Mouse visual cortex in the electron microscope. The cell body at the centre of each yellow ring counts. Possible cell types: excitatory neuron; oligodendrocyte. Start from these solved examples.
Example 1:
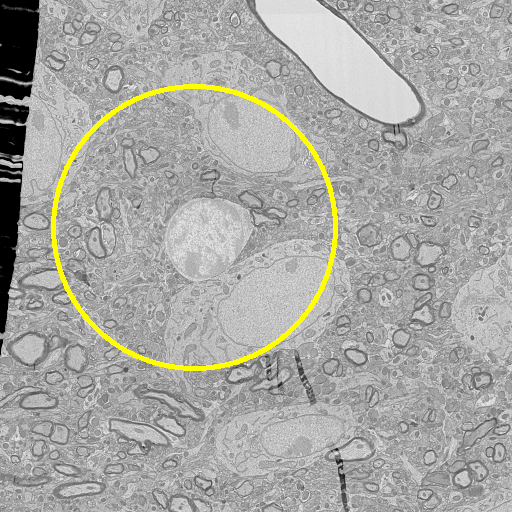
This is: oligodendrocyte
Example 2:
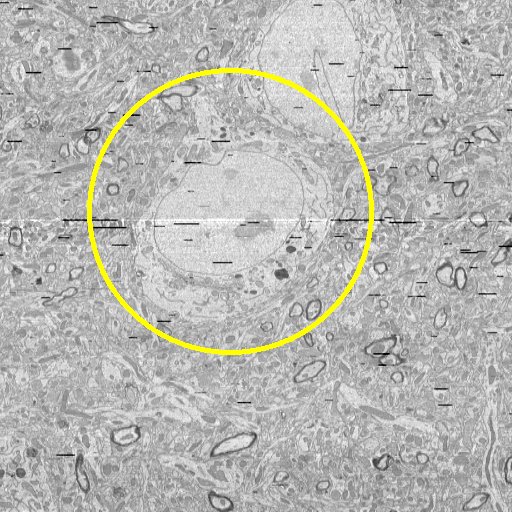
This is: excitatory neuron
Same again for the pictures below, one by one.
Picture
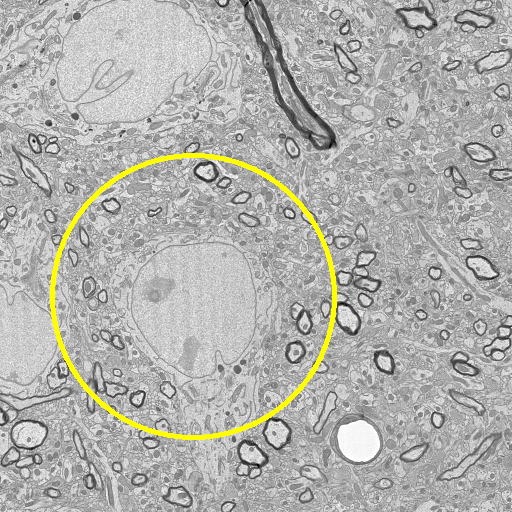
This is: excitatory neuron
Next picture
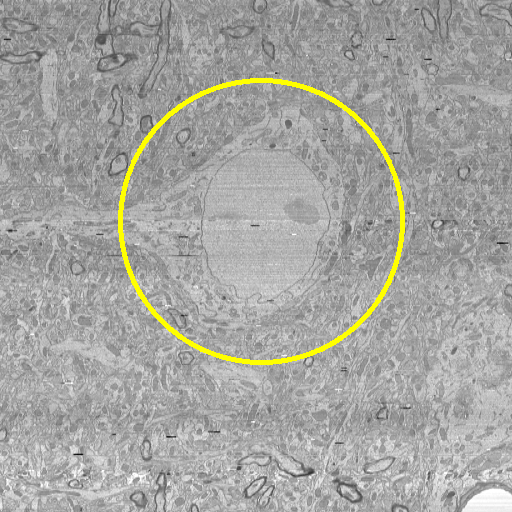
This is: excitatory neuron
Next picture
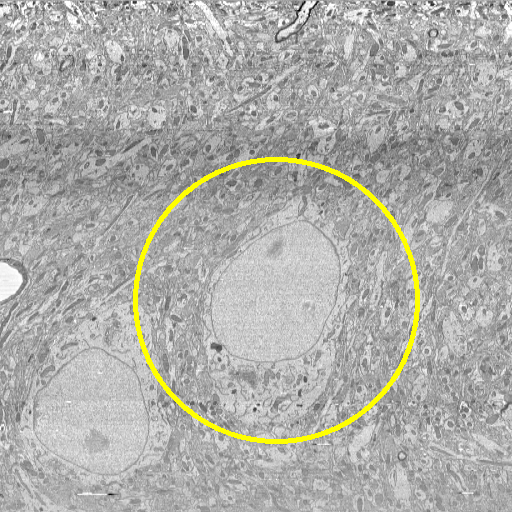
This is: excitatory neuron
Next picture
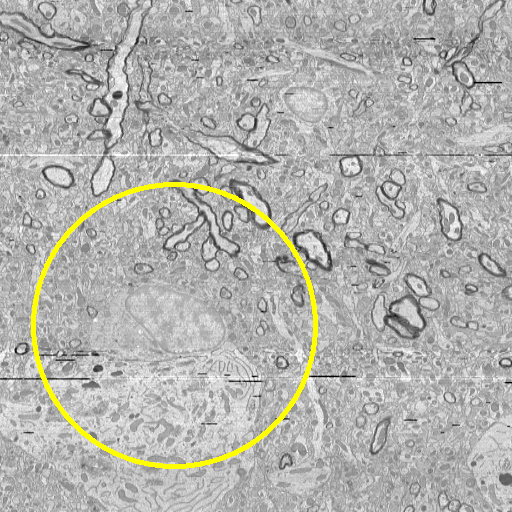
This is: oligodendrocyte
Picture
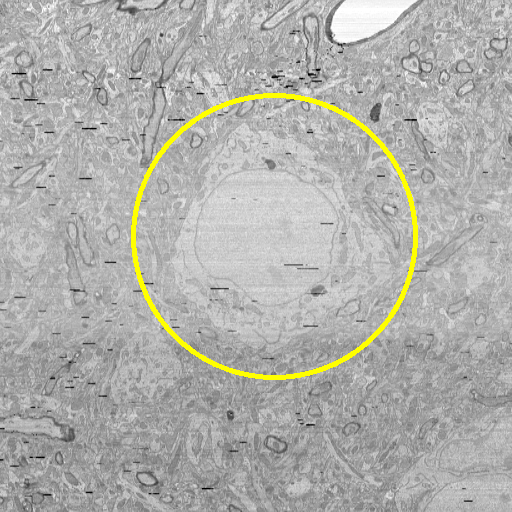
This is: excitatory neuron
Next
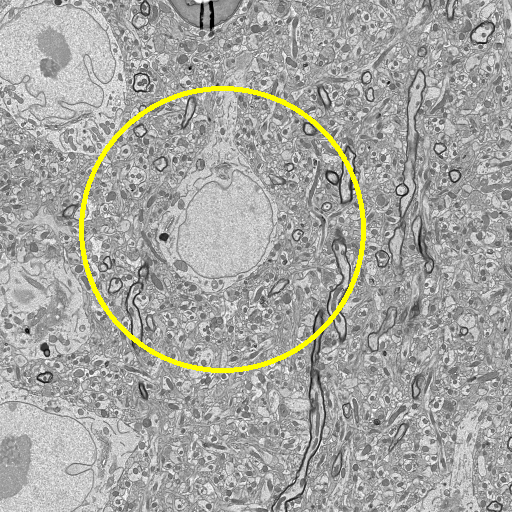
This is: excitatory neuron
